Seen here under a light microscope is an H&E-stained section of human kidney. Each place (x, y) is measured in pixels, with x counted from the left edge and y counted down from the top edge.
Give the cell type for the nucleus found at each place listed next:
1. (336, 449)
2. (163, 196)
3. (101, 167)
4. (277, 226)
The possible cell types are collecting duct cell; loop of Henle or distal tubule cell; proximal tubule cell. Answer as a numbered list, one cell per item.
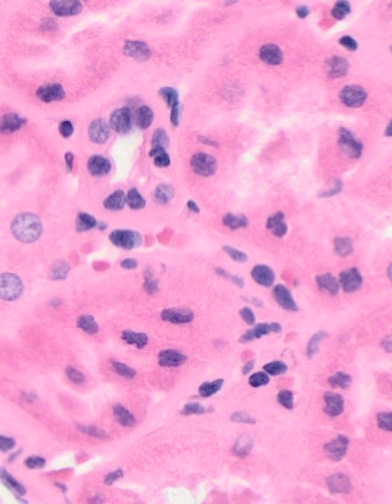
1. proximal tubule cell
2. collecting duct cell
3. collecting duct cell
4. proximal tubule cell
